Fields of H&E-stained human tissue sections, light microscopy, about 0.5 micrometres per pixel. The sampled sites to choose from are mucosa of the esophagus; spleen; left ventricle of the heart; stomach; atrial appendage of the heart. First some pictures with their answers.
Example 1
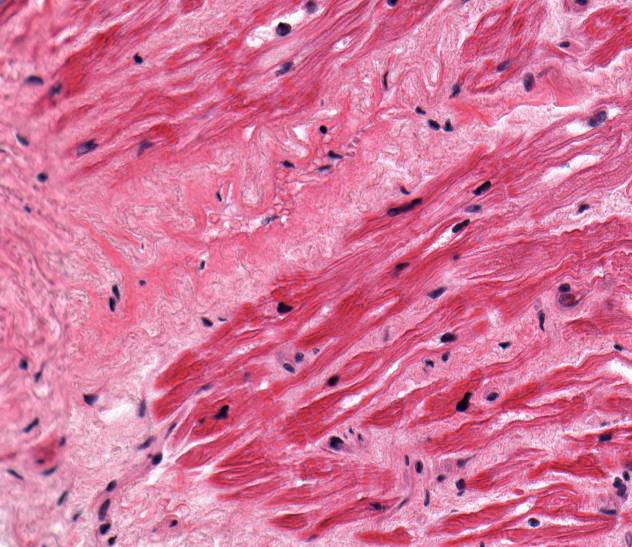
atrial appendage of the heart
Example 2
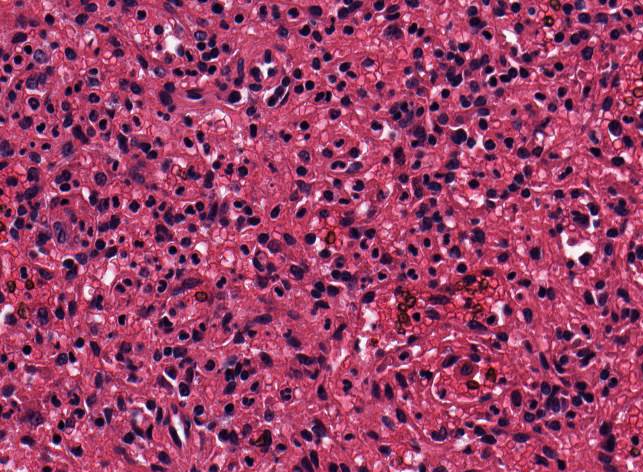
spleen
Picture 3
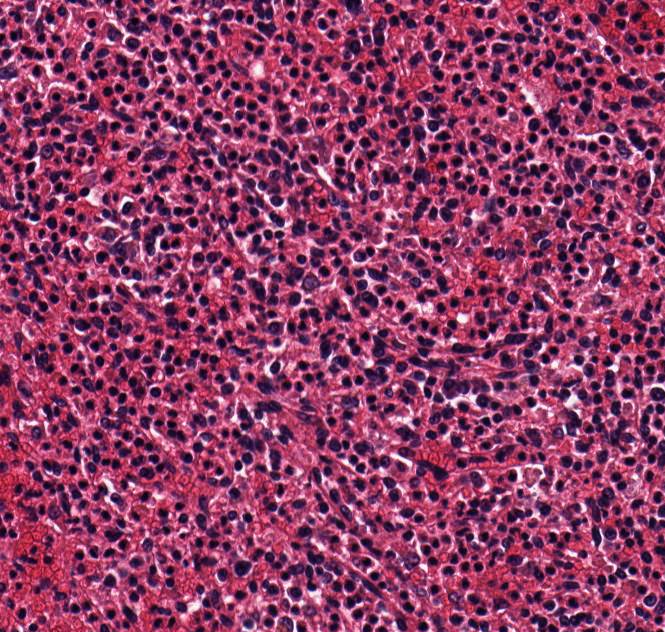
spleen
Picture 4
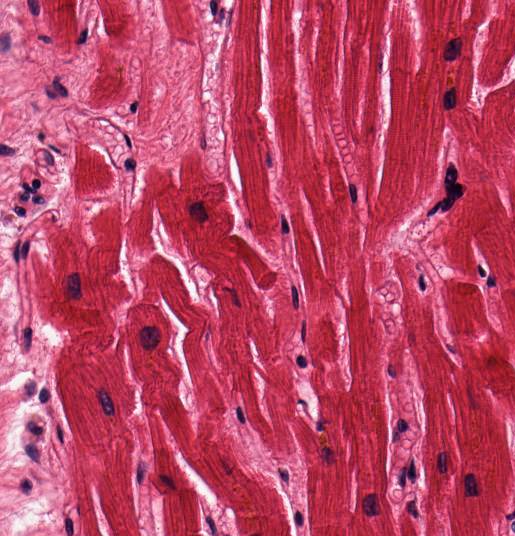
left ventricle of the heart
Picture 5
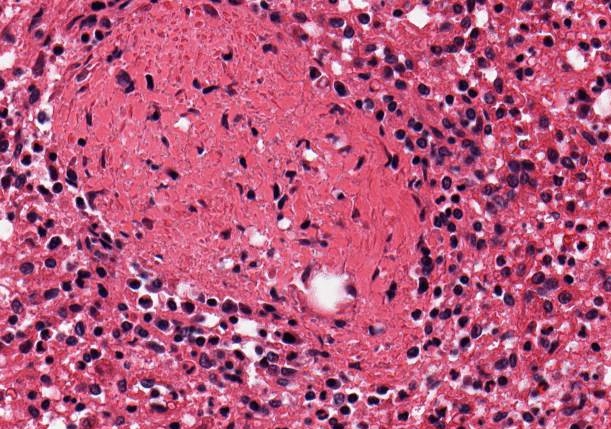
spleen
